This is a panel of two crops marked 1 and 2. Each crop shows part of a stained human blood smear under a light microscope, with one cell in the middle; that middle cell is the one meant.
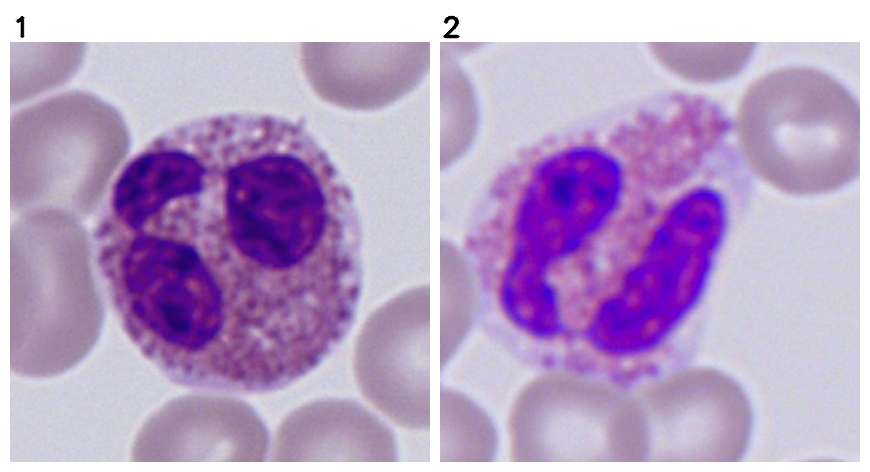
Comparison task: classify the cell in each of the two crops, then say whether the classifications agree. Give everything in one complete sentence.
Yes, eosinophils lie at the centre of both crops.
